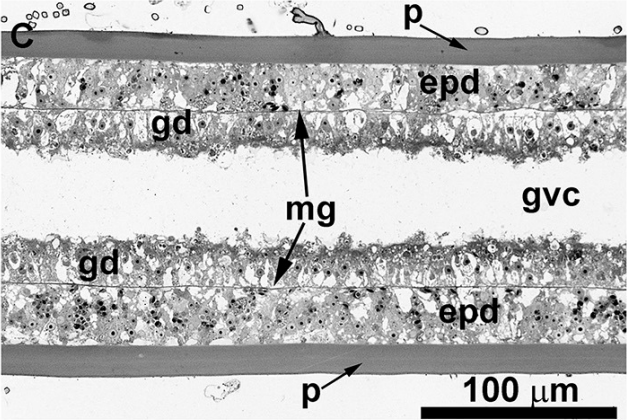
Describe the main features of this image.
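This semi-thin section runs lengthwise through a hydroid stem, with two mirror-image walls on either side of a wide empty central cavity. Each wall is covered outside by a thick, smooth, uniformly grey perisarc sheet. Beneath it lies the epidermis, a layer of cells packed with many small dark granules. A thin line of mesoglea separates the epidermis from the gastrodermis, whose columnar cells face the central cavity. The layers are even in thickness and run parallel along the whole length.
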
